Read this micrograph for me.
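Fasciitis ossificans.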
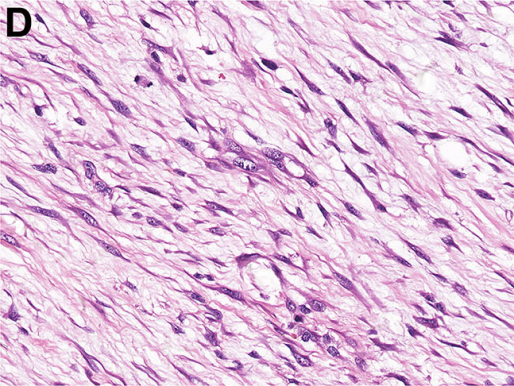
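Spindle-shaped myofibroblasts/fibroblasts lie loosely in a pale pink, faintly myxoid stroma. Their nuclei are elongated to oval, dark purple, with tapered ends and modest size variation. The cells run in roughly parallel streams with scant eosinophilic cytoplasm. Small vessels with plump nuclei are interspersed.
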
